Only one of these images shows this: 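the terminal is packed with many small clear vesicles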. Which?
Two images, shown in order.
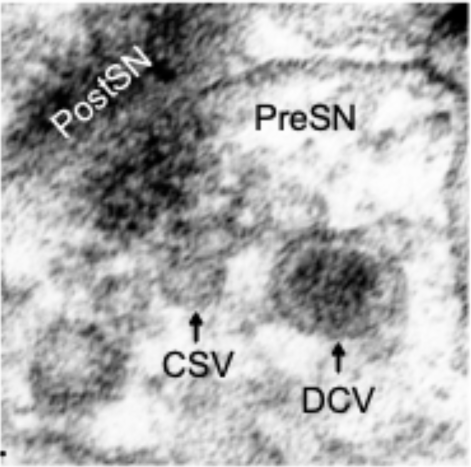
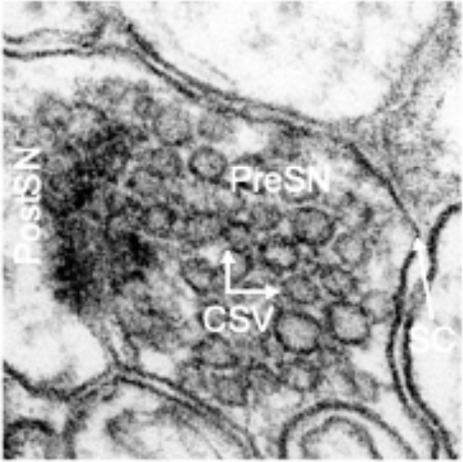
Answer: The second image.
